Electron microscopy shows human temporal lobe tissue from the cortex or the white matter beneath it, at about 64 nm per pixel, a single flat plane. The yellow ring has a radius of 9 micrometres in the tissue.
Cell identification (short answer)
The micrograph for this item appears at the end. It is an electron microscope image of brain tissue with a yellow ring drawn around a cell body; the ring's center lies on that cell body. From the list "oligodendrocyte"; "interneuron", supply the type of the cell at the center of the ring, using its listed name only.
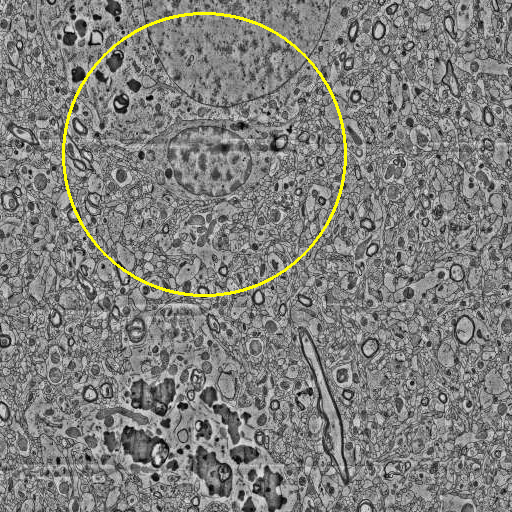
oligodendrocyte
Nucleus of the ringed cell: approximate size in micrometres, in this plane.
The ringed cell's nucleus measures approximately 6 by 5 micrometres in this plane.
